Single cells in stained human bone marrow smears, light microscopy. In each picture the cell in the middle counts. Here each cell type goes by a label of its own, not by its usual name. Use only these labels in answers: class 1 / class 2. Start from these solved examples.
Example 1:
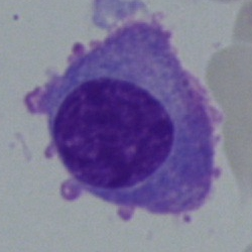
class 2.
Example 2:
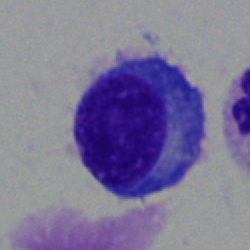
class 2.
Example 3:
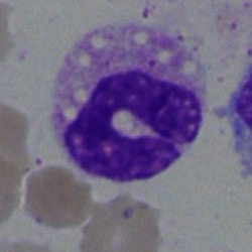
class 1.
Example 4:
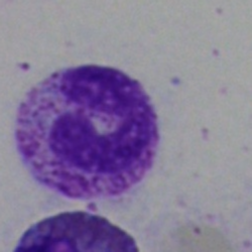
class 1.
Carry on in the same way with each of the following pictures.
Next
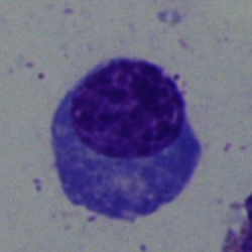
class 2.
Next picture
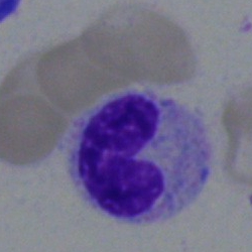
class 1.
